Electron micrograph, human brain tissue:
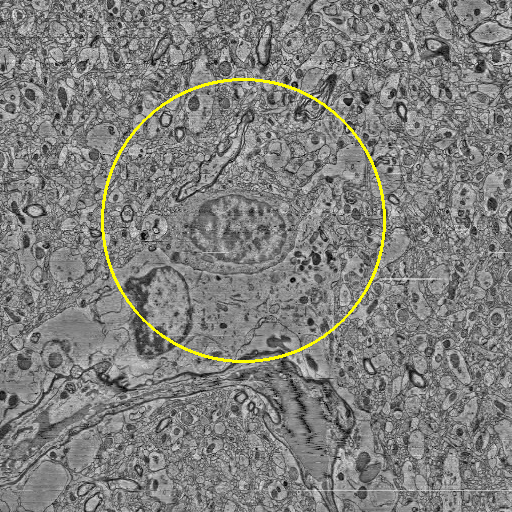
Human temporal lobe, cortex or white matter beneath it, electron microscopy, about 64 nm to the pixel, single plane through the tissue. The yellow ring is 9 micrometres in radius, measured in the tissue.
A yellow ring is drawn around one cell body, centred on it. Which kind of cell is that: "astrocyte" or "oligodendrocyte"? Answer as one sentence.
It is an oligodendrocyte at the centre of the ring.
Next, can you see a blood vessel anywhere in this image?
Yes, the image shows a blood vessel.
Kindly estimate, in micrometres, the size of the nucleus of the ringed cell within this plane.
About 6 by 5 micrometers for the nucleus, in this plane.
